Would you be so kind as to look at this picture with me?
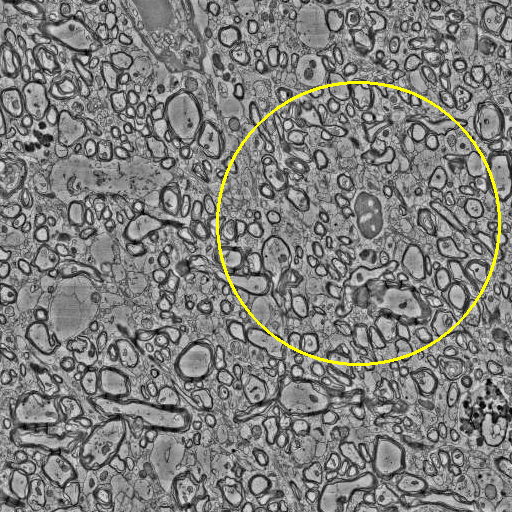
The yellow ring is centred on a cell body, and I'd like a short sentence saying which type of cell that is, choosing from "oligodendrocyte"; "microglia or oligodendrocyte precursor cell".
The cell body in the ring belongs to a microglial cell or oligodendrocyte precursor cell.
